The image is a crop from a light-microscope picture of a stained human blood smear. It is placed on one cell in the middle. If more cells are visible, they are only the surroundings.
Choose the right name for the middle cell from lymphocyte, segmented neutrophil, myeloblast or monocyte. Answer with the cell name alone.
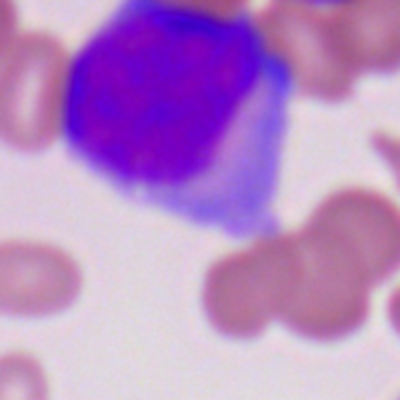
myeloblast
